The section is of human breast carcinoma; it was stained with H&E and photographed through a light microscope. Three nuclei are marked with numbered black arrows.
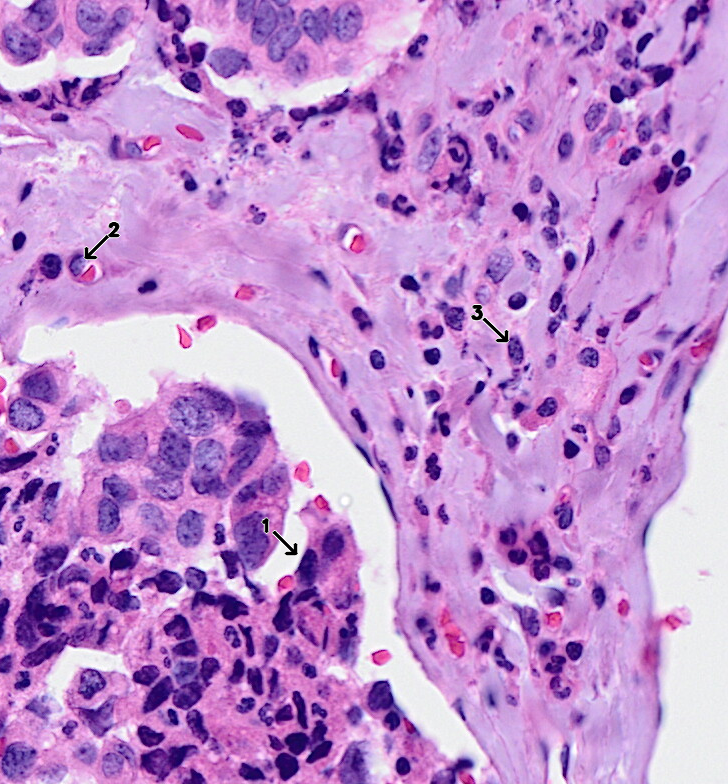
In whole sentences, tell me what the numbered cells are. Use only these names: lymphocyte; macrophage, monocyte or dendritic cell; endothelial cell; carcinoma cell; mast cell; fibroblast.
Cell 1 is a carcinoma cell. Cell 2 is an endothelial cell. Cell 3 is a mast cell.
